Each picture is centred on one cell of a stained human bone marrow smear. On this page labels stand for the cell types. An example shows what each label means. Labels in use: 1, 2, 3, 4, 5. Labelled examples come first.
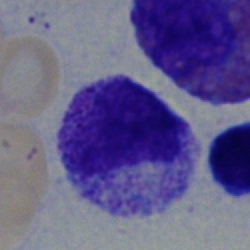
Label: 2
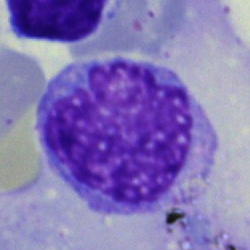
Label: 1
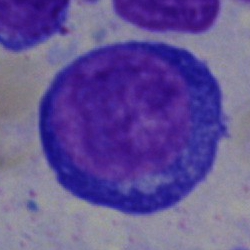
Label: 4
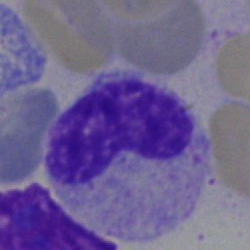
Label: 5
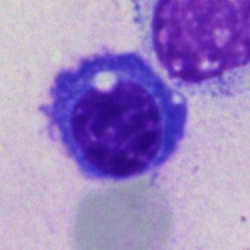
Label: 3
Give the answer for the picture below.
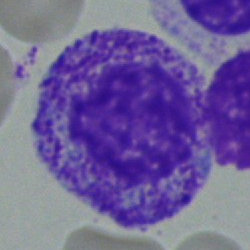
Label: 2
